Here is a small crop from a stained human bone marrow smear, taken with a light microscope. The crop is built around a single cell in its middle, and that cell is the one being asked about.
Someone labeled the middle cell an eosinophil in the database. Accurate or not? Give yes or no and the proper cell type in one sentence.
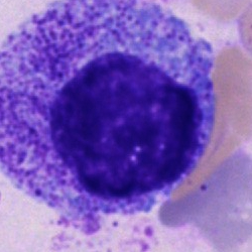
No, the cell at the centre of the crop is a promyelocyte and not an eosinophil.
